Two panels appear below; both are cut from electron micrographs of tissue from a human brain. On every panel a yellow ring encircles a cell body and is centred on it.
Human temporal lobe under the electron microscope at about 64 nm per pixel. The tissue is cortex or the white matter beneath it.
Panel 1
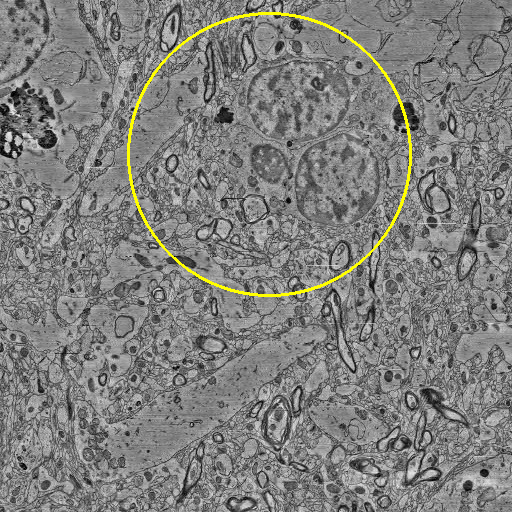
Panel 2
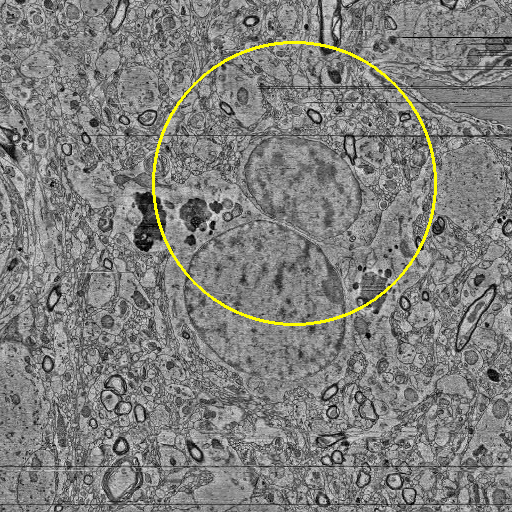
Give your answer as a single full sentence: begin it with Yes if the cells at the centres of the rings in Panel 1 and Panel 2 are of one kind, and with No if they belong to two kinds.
Yes, the cells in the middle of the rings in Panels 1 and 2 are of one kind.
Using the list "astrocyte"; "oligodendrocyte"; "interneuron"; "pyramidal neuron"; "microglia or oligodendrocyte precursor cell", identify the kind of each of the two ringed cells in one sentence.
The cell at the ring centre is an oligodendrocyte in both pictures.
